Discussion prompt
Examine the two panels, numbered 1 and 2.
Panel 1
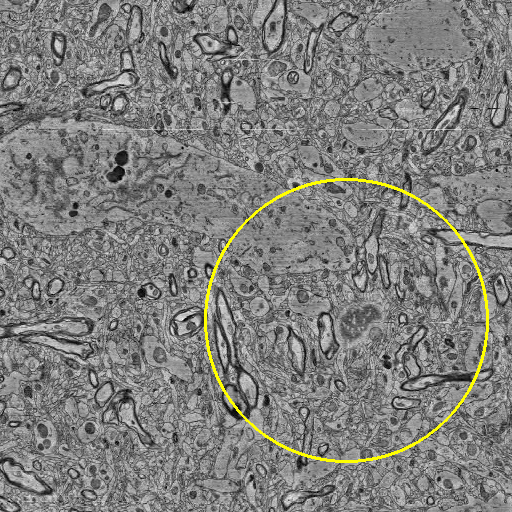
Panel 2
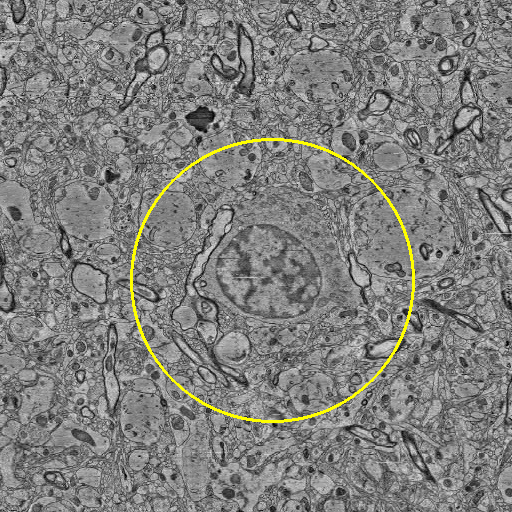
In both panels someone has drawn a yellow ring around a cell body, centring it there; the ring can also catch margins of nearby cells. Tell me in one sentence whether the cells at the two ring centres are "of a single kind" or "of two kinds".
Taken together, the two cells centred in the rings of Panels 1 and 2 are of a single kind.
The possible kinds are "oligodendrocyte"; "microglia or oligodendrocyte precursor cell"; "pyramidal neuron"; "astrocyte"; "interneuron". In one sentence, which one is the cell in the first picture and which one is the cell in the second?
In each of the two pictures, the ringed cell is an oligodendrocyte.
